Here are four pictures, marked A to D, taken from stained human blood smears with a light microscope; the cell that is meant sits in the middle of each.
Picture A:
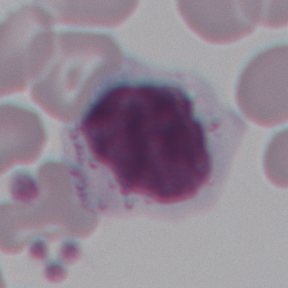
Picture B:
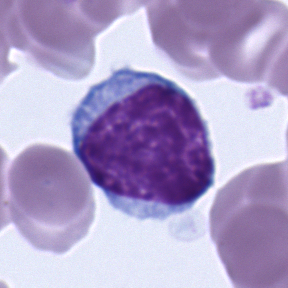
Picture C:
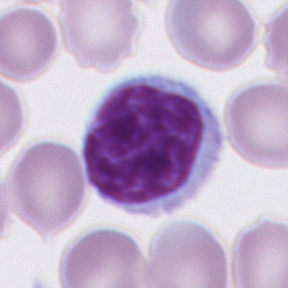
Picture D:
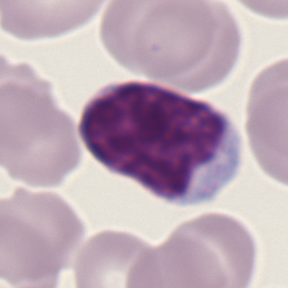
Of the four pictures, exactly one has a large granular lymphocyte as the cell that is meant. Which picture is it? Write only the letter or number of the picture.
A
